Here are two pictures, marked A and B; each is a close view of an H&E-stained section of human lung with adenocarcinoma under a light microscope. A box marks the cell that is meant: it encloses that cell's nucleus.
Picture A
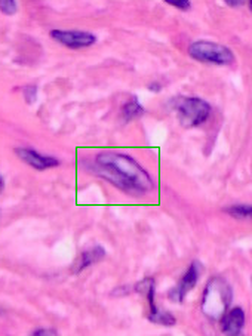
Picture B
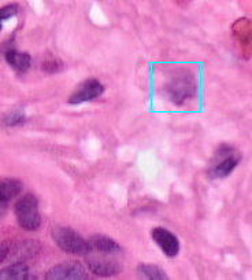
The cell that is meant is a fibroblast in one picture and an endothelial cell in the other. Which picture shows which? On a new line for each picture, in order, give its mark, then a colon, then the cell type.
A: endothelial cell
B: fibroblast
